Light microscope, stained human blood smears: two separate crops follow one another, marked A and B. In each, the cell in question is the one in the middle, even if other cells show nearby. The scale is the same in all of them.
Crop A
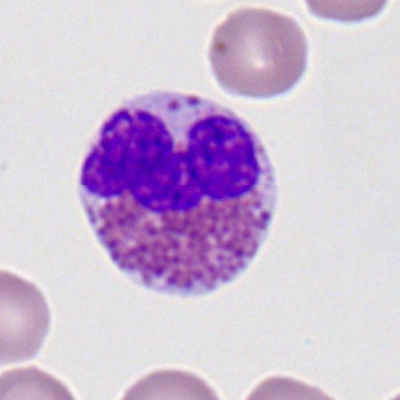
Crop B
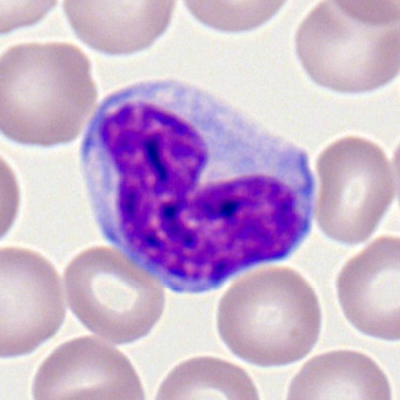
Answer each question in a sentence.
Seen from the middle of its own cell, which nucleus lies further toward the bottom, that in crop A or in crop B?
Seen within its cell, the nucleus in crop B lies further toward the bottom.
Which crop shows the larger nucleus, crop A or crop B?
It is the nucleus in crop B, about 1.5 times as large in area as the one in crop A.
